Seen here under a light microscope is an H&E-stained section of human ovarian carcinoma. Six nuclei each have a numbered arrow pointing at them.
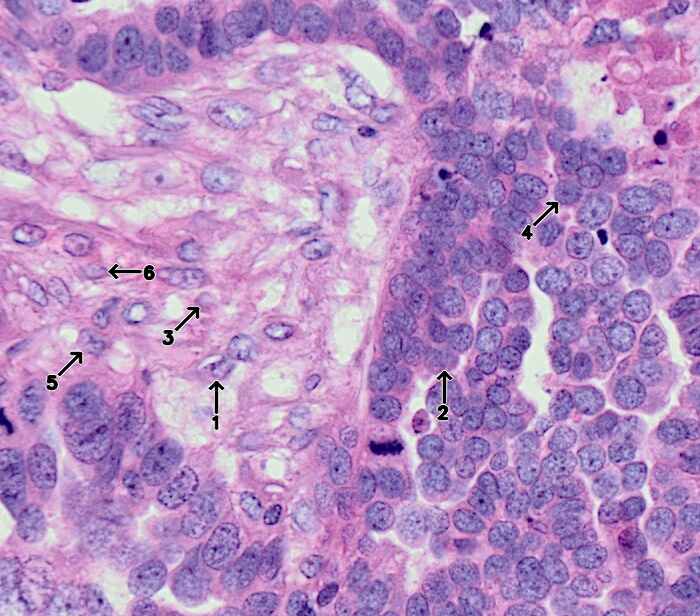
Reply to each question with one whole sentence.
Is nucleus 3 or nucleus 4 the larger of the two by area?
At about 2.5 times the area of nucleus 3, nucleus 4 is the larger of the two.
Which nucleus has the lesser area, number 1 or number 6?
The smaller nucleus is 6, and 1 covers roughly 2 times its area.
